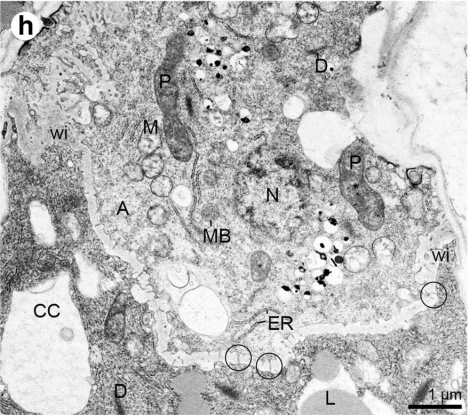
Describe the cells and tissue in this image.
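This shows an antipodal cell of the embryo sac next to the central cell. The antipodal cytoplasm is rich in organelles, with a nucleus, elongated dark plastids, round mitochondria, microbodies and endoplasmic reticulum, and its walls form irregular finger-like wall ingrowths. The neighbouring central cell contains pale vacuole-like areas and dense grey lipid droplets.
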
